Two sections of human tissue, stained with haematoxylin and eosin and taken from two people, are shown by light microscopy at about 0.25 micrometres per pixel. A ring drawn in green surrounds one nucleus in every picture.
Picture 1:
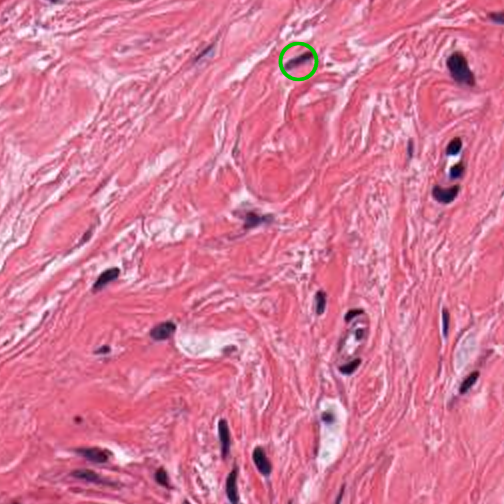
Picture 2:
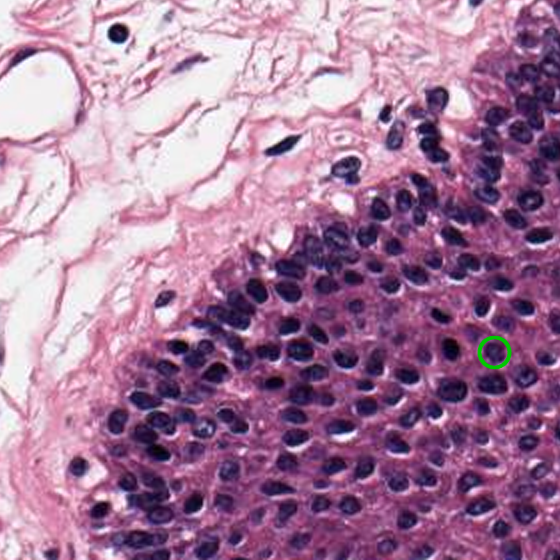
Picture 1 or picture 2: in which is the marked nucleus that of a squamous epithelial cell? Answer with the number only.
2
